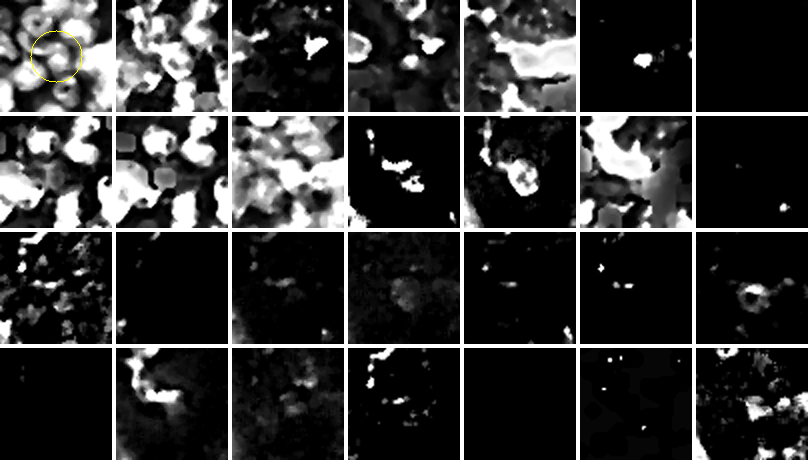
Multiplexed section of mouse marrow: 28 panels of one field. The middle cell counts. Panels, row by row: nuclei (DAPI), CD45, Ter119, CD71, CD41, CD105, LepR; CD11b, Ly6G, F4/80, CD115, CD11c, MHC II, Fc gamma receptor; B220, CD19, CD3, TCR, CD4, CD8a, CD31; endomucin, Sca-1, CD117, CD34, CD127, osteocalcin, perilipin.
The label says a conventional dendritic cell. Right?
Right.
